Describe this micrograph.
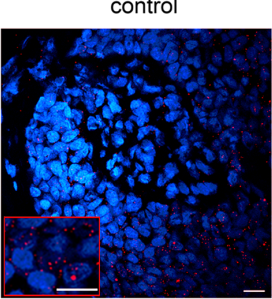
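Small discrete red dots are scattered through the tissue, lying in the narrow spaces between and beside the nuclei. The framed inset enlarges a group of these cells, where the red dots appear as bright round puncta next to the blue nuclei.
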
